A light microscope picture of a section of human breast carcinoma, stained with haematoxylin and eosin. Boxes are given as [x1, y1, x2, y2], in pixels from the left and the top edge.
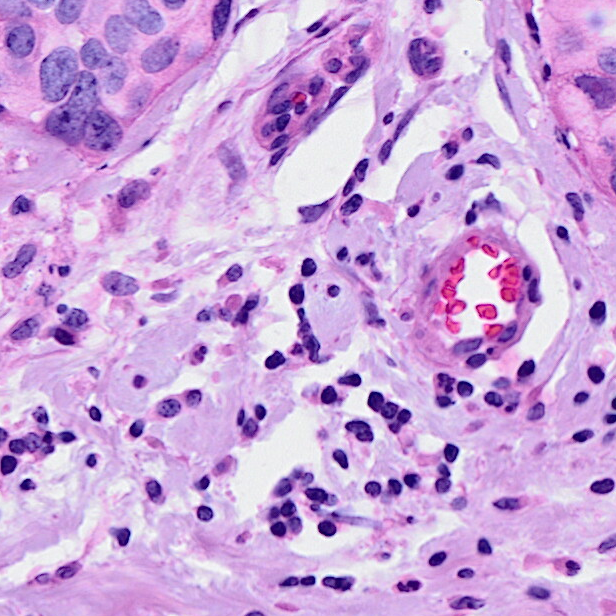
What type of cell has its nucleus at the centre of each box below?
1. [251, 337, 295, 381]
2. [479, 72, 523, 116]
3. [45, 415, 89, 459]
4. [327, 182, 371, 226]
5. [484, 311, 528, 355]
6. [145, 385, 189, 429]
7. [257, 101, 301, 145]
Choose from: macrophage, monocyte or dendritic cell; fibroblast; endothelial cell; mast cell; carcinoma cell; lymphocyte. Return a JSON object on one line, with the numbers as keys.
{"1": "lymphocyte", "2": "fibroblast", "3": "lymphocyte", "4": "lymphocyte", "5": "endothelial cell", "6": "mast cell", "7": "endothelial cell"}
